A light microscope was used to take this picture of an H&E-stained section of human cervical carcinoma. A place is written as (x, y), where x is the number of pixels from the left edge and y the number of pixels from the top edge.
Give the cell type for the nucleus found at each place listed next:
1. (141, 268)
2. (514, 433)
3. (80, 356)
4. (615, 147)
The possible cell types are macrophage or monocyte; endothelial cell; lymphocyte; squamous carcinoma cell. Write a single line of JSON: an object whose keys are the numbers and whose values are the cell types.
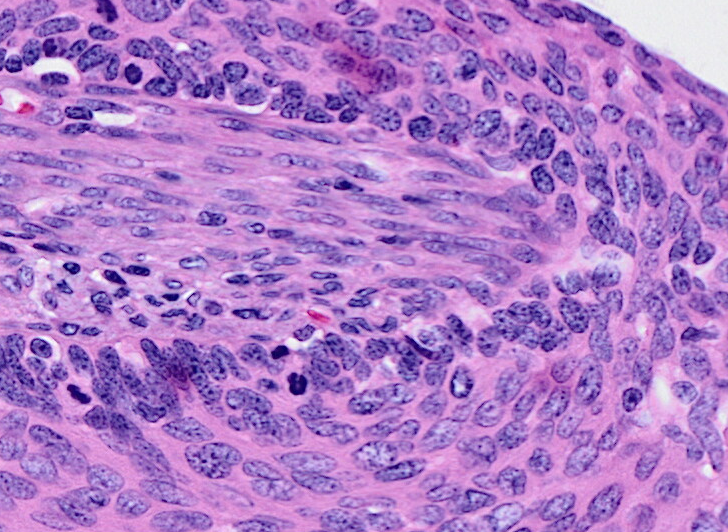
{"1": "lymphocyte", "2": "squamous carcinoma cell", "3": "squamous carcinoma cell", "4": "squamous carcinoma cell"}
